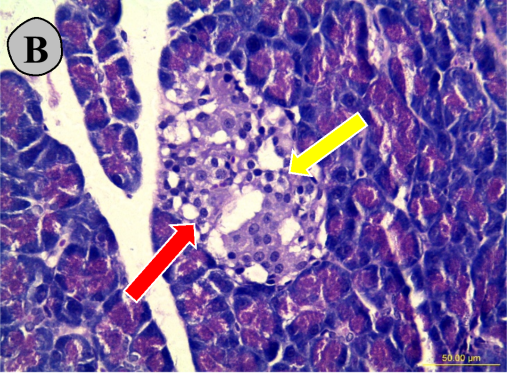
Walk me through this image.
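Pancreatic tissue in which a small islet lies among dark-staining exocrine acini near a wide clear cleft. The islet holds relatively few cells with round nuclei and pale cytoplasm. Its structure is disrupted by clear vacuoles and empty spaces. The surrounding acinar cells keep their red-purple cytoplasm and basal nuclei.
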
